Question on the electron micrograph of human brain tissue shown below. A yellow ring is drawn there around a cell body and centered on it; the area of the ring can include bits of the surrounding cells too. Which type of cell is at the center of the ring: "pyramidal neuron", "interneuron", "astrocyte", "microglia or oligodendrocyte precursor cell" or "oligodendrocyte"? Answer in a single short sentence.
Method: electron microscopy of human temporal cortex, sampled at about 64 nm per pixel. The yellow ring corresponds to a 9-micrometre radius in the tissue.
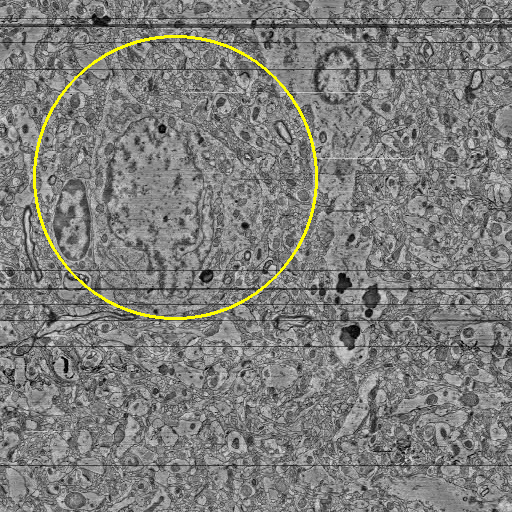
The ring is centered on an interneuron.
